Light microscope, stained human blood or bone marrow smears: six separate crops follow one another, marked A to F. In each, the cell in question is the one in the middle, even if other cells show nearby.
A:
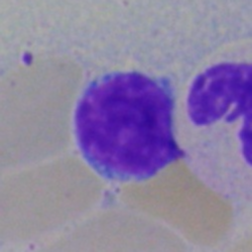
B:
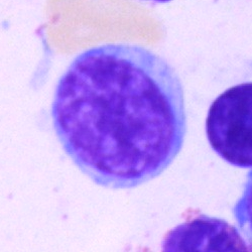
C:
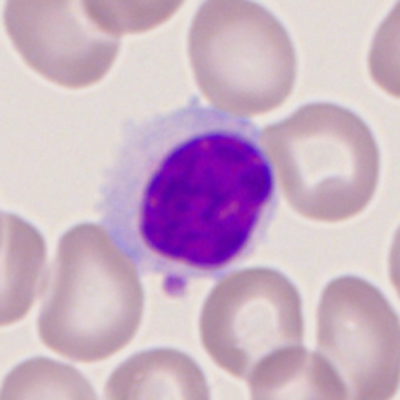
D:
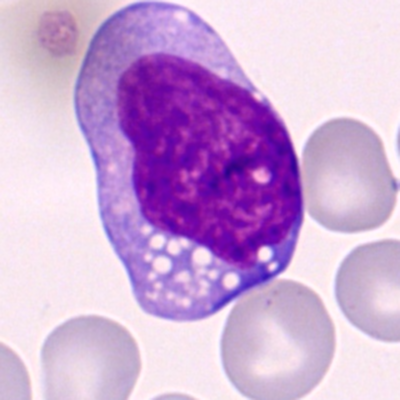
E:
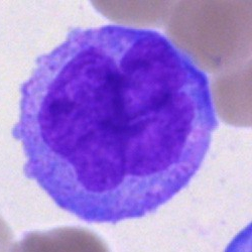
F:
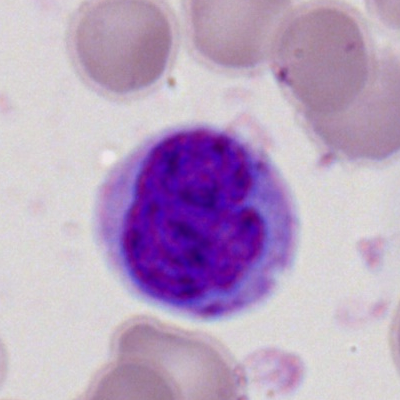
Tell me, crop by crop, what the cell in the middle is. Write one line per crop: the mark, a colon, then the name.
A: lymphocyte
B: lymphocyte
C: lymphocyte
D: monocyte
E: monocyte
F: monocyte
